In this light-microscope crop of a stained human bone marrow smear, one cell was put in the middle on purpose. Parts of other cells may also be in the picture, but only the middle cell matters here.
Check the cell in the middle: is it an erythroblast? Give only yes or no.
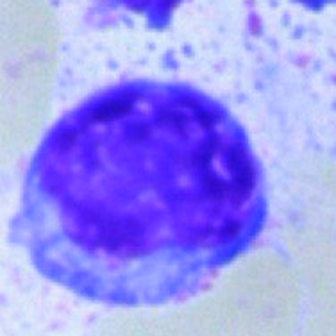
no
